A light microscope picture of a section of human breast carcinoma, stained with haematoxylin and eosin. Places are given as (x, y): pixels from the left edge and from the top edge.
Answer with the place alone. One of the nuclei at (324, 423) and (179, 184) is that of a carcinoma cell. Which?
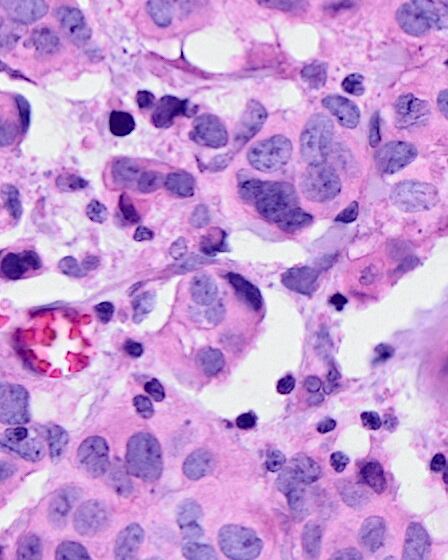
(179, 184)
